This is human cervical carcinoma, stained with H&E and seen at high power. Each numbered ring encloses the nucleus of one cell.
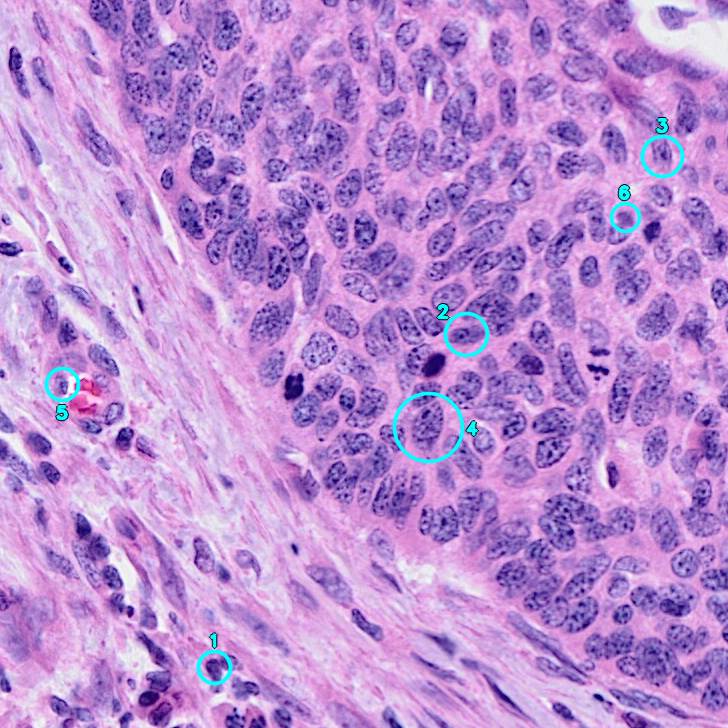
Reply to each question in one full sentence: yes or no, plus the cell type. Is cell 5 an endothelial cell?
Yes, the cell labelled with number 5 is an endothelial cell.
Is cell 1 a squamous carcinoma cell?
No, calling cell 1 a squamous carcinoma cell is incorrect; it is a lymphocyte.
